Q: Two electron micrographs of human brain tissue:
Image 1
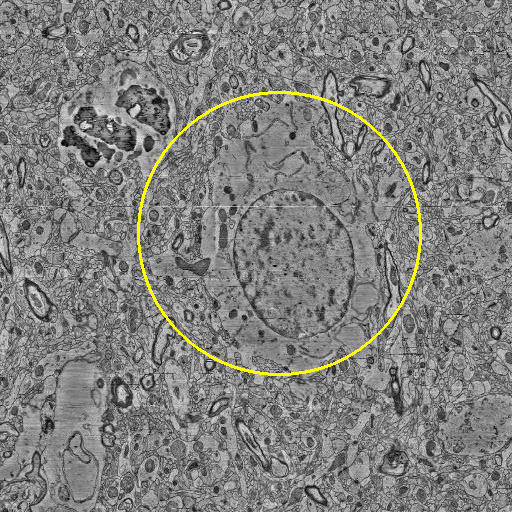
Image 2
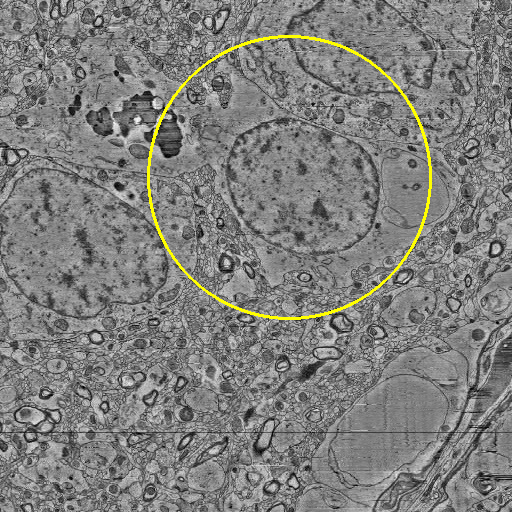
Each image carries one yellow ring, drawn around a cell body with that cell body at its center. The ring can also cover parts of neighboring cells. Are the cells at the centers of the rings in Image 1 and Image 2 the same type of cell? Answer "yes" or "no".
yes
